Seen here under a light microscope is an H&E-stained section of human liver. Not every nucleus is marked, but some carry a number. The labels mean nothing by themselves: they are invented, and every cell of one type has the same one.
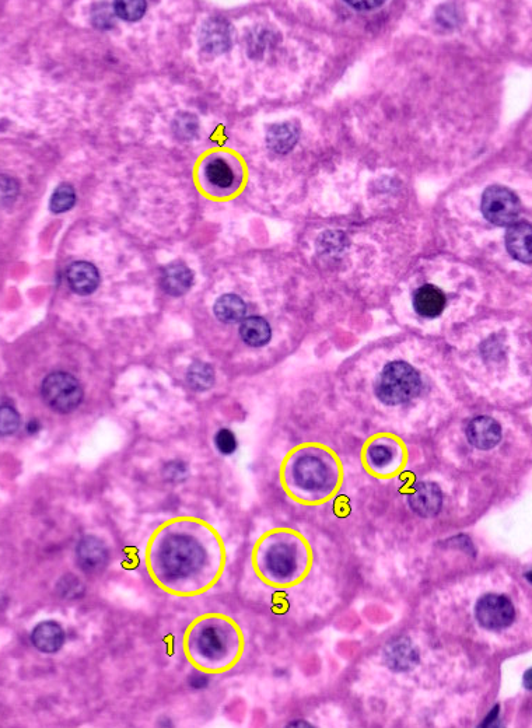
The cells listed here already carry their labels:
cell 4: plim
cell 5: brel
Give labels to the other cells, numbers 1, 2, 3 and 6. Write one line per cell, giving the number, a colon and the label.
1: brel
2: plim
3: brel
6: brel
